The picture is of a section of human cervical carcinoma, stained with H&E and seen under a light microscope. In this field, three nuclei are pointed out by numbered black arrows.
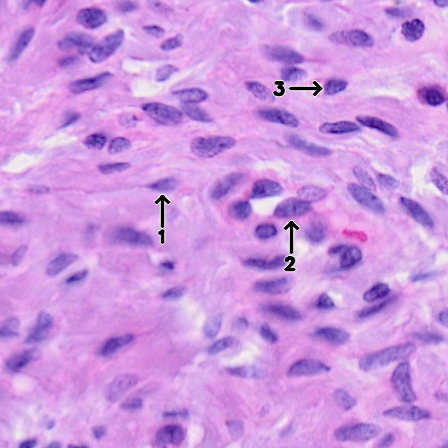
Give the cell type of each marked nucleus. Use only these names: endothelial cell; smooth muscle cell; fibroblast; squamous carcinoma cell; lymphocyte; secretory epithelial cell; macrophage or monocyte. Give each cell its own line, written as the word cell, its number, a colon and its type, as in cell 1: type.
cell 1: fibroblast
cell 2: endothelial cell
cell 3: fibroblast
